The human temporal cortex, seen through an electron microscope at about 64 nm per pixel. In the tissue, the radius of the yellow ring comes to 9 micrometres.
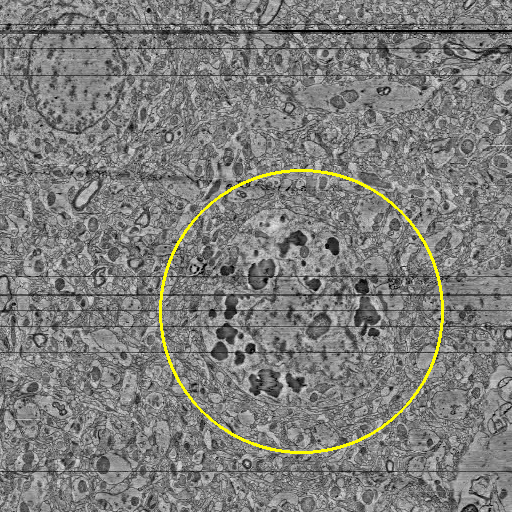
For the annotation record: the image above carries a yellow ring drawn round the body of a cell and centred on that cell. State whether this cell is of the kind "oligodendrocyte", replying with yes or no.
No, this cell is of another kind.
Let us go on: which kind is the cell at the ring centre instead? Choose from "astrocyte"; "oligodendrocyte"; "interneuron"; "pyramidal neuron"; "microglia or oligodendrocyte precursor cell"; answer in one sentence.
Here, the ring is centred on an interneuron instead.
